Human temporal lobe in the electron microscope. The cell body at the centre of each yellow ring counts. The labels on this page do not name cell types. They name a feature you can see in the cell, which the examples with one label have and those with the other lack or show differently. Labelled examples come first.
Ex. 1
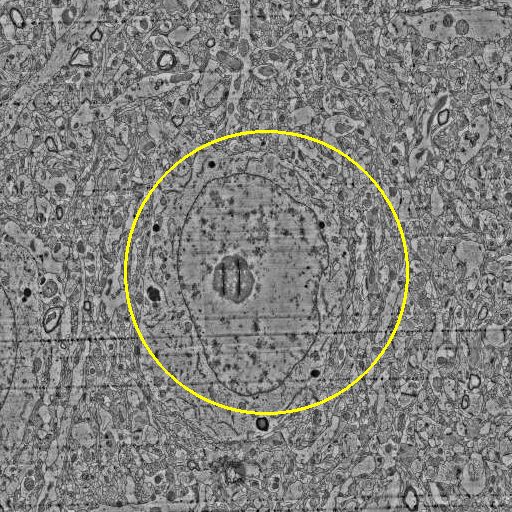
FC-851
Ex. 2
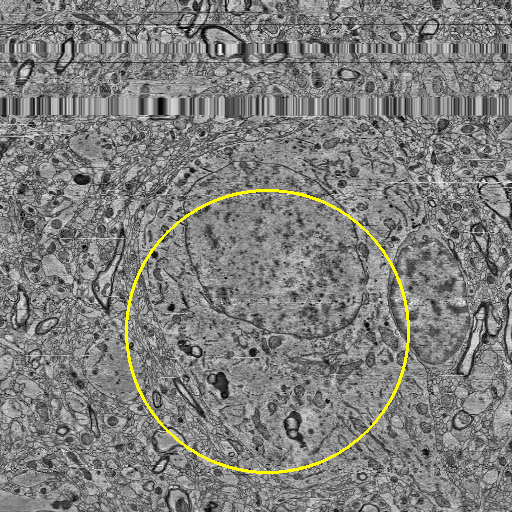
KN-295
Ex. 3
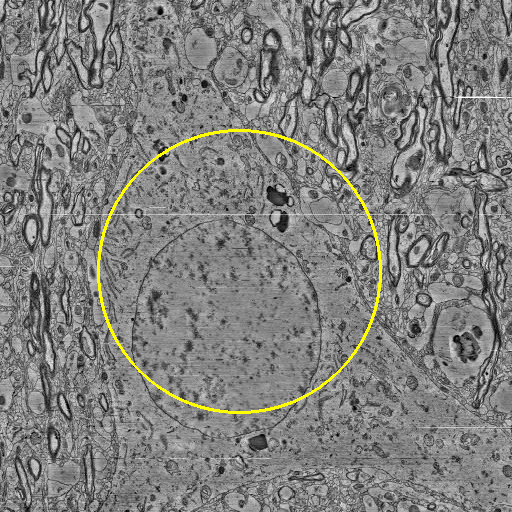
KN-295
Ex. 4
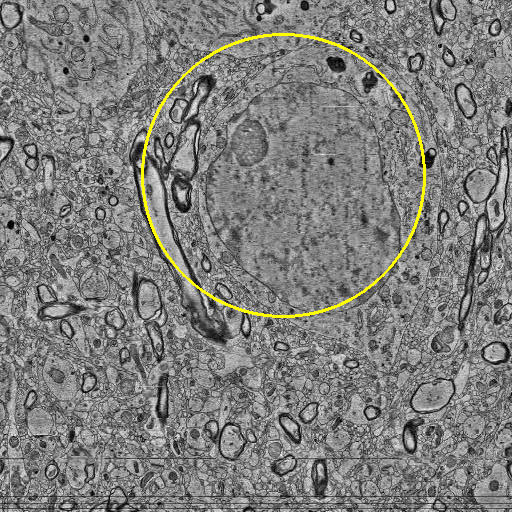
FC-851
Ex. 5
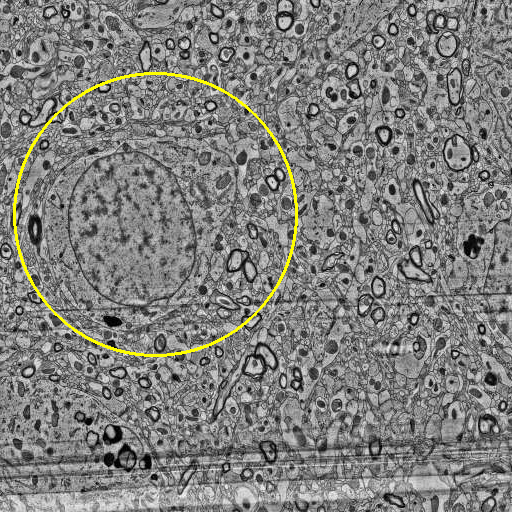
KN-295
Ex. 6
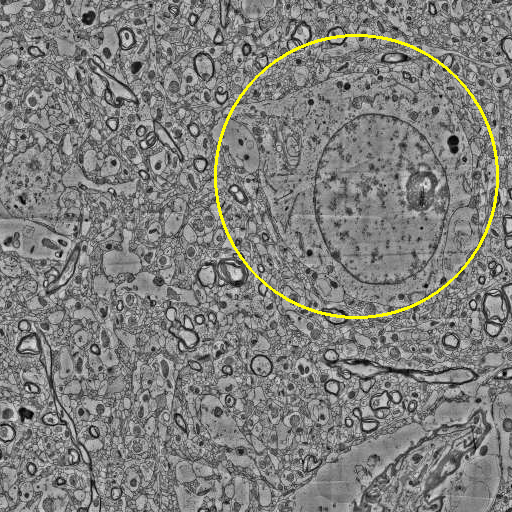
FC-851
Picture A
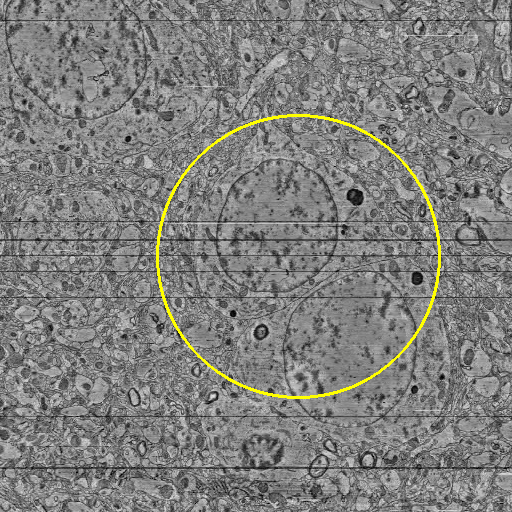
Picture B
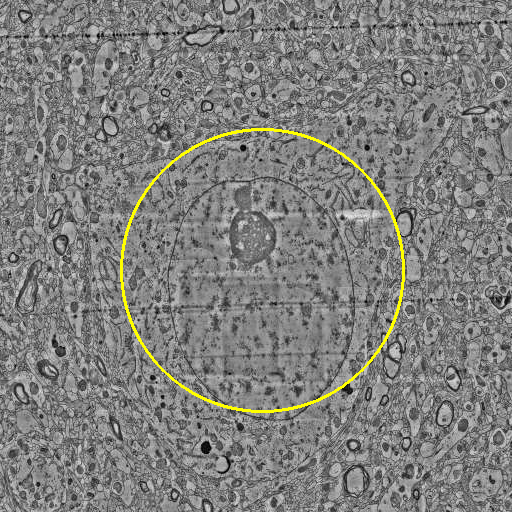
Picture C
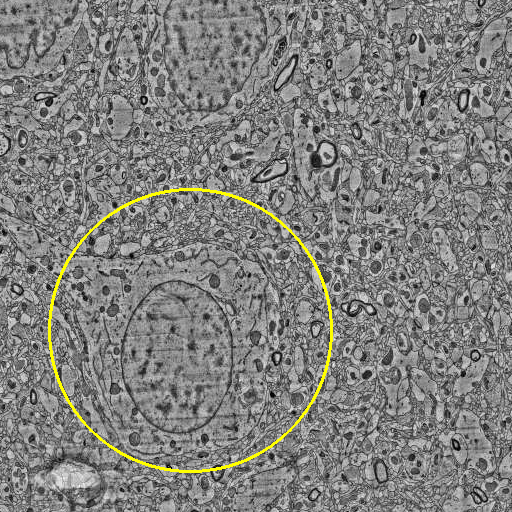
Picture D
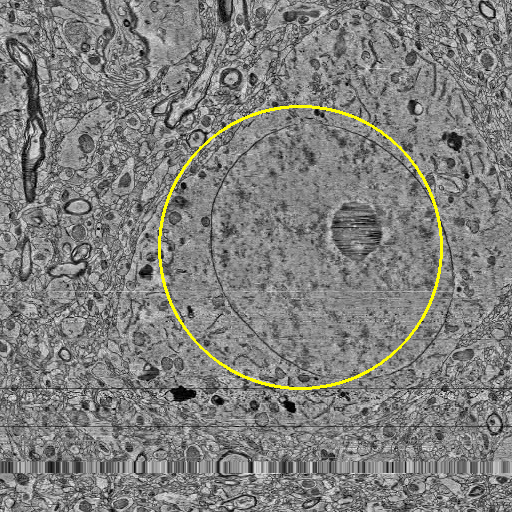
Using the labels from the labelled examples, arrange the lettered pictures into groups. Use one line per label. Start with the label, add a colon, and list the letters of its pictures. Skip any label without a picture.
FC-851: B, D
KN-295: A, C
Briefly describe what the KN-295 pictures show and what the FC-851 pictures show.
KN-295, no nucleolus seen; FC-851, nucleolus seen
